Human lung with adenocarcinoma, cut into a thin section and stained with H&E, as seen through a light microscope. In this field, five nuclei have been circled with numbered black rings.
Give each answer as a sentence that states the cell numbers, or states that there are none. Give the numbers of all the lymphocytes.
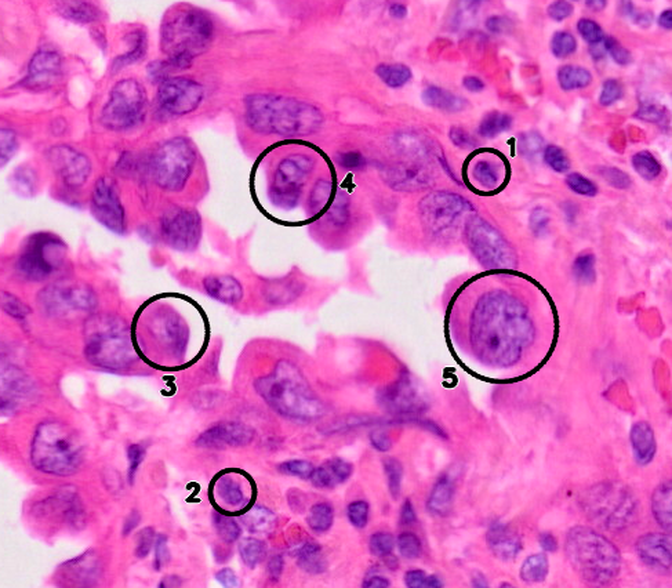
On this slide, the cells numbered 1 and 2 are lymphocytes.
